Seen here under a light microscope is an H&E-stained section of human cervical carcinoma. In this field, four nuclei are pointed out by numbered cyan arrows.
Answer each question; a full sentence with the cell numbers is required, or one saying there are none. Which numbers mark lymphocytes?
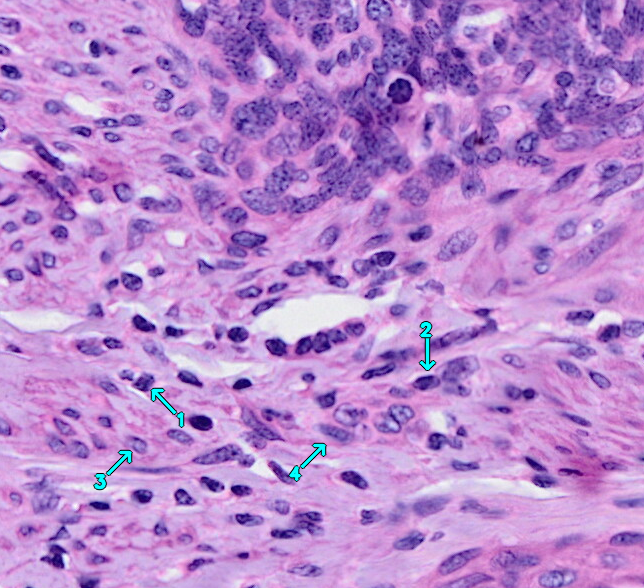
The cells bearing the numbers 1 and 2 are lymphocytes.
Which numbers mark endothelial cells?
No marked cell except number 4 is an endothelial cell.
